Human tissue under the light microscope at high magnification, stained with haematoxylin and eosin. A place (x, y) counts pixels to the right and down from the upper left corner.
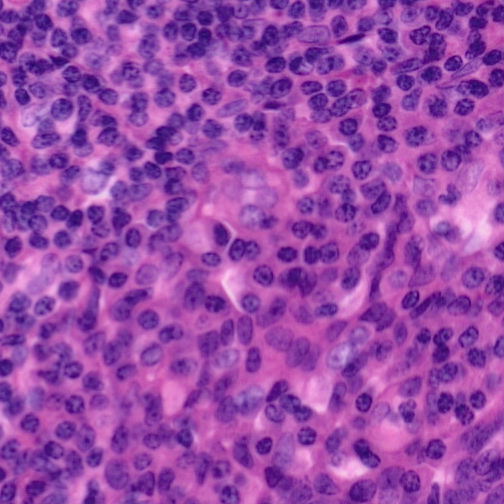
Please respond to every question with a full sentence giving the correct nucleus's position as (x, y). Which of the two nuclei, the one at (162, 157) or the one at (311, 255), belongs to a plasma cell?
It is at (311, 255) that the nucleus of a plasma cell is found.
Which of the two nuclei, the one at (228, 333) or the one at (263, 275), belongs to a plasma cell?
Among the two, the nucleus at (263, 275) is the nucleus of a plasma cell.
